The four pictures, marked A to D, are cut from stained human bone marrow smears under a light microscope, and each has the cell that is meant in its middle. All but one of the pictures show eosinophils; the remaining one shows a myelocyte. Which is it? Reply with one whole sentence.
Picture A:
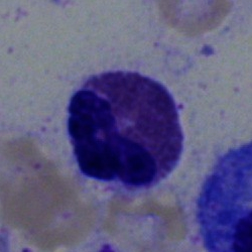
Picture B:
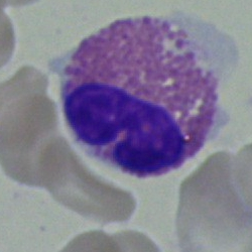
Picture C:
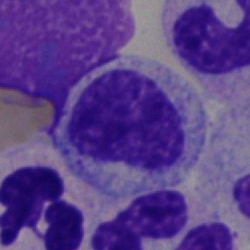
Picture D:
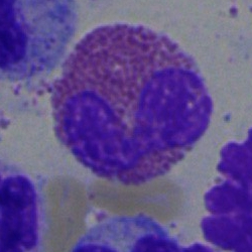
The cell in picture C is the myelocyte.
